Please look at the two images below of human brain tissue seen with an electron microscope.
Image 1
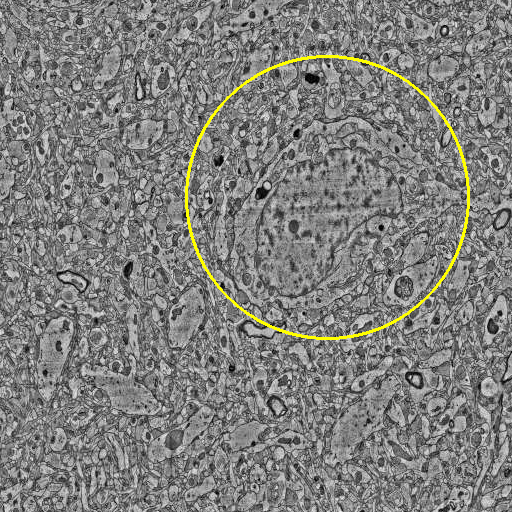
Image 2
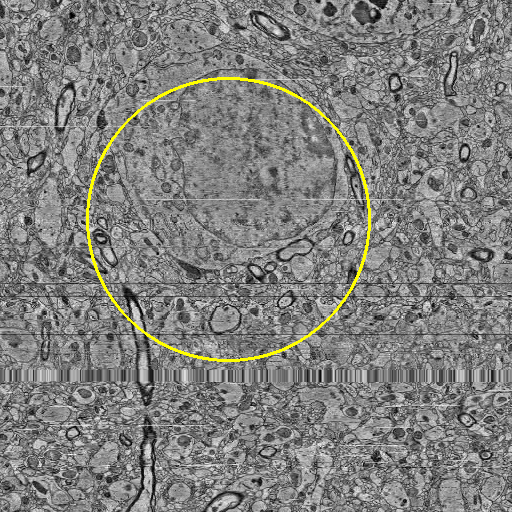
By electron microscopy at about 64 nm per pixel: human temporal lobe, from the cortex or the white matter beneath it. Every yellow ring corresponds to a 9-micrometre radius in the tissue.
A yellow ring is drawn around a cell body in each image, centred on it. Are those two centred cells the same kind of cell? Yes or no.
yes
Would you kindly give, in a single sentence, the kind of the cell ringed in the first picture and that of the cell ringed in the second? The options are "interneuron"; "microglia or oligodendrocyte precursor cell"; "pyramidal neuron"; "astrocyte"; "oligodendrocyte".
In each of the two pictures, the ringed cell is an interneuron.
